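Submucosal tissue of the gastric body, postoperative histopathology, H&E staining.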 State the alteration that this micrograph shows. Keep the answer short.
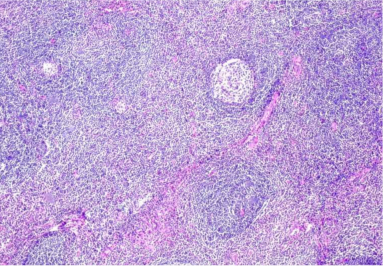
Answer: Atrophic follicular centers.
